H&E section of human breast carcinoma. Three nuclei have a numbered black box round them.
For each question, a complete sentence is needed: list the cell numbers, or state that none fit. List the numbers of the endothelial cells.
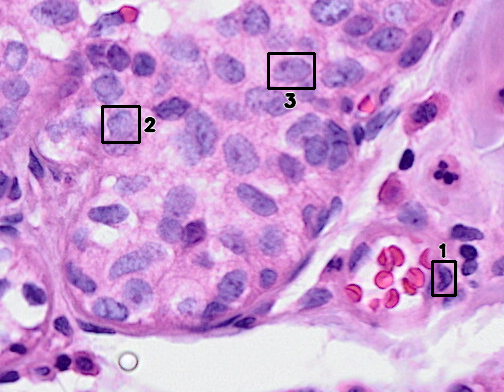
Only at number 1 is there an endothelial cell.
